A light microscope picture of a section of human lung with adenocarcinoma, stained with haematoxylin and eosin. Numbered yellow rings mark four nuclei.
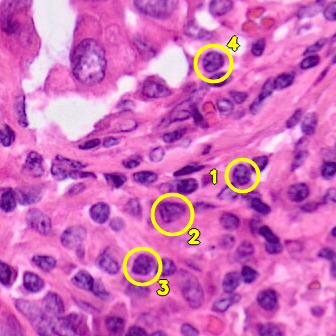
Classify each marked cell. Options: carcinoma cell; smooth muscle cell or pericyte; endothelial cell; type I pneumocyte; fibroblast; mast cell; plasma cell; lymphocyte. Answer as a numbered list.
1. lymphocyte
2. plasma cell
3. lymphocyte
4. lymphocyte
